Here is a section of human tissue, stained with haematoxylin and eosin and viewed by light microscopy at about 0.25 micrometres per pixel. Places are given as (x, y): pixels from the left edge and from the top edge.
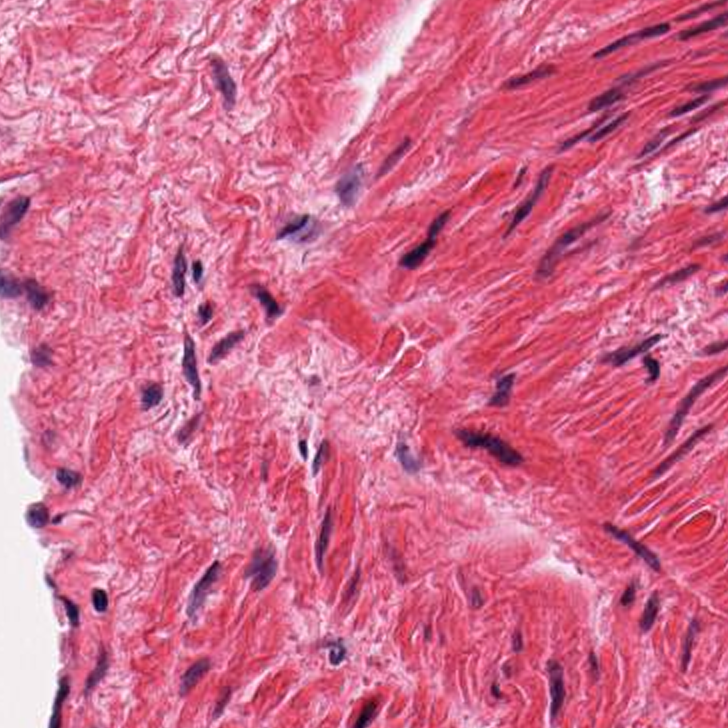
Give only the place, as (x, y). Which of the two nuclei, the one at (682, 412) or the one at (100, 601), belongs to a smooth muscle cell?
(682, 412)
